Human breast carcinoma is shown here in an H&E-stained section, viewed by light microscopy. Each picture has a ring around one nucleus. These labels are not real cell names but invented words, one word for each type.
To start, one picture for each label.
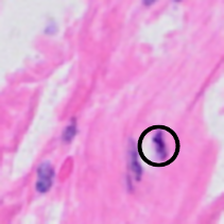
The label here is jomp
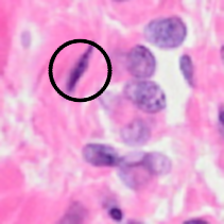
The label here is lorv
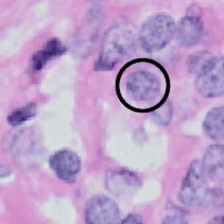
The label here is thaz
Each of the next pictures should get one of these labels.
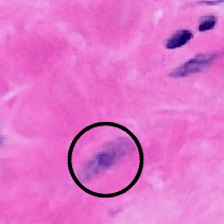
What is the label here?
lorv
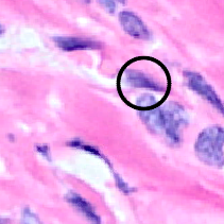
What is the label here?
jomp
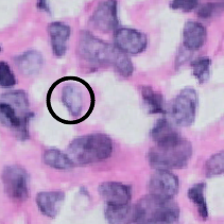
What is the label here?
thaz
